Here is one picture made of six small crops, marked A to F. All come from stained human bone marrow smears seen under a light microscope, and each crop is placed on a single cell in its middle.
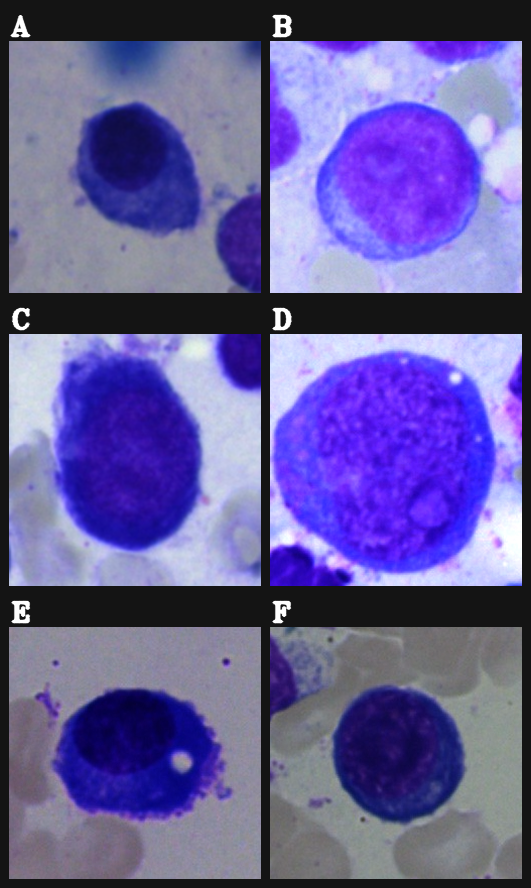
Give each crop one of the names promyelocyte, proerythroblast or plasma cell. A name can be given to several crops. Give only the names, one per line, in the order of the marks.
plasma cell
proerythroblast
proerythroblast
promyelocyte
plasma cell
proerythroblast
